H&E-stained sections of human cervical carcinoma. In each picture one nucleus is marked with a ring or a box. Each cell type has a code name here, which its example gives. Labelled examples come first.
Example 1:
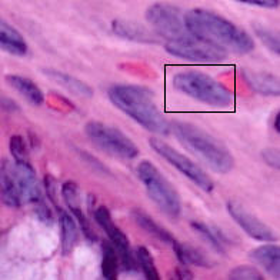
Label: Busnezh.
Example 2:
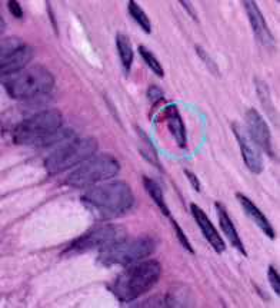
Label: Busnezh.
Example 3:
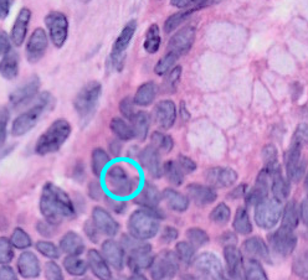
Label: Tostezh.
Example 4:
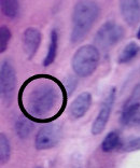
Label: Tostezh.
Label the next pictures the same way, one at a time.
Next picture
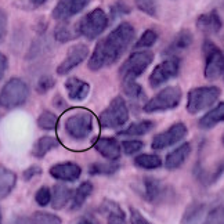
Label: Tostezh.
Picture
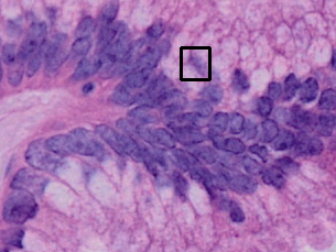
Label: Tostezh.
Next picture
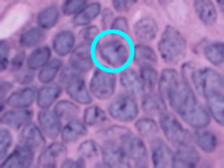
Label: Tostezh.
